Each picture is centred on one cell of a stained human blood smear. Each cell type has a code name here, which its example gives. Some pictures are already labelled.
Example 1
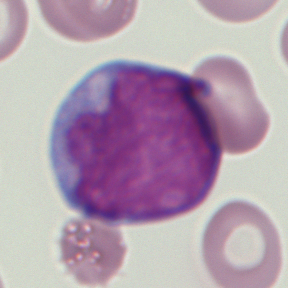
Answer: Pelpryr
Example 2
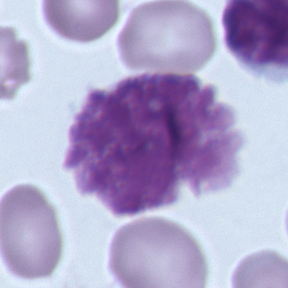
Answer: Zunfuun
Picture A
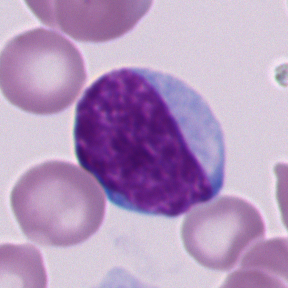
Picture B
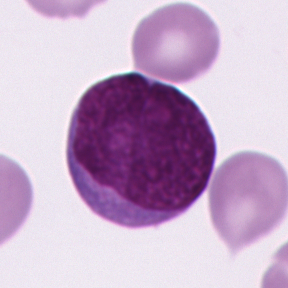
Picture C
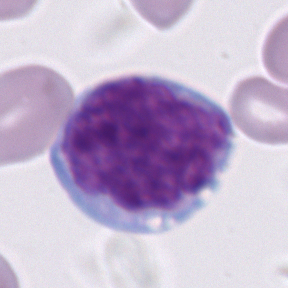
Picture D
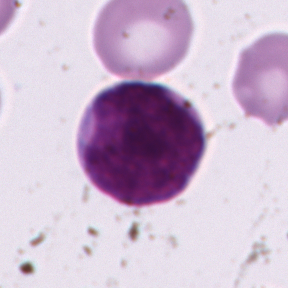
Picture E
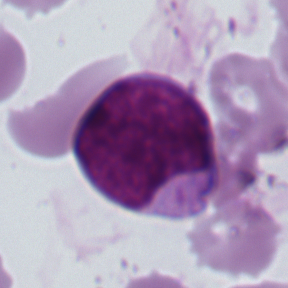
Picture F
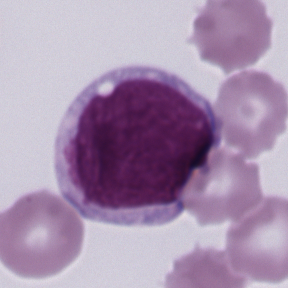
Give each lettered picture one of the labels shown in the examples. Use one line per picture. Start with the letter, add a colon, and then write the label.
A: Pelpryr
B: Pelpryr
C: Pelpryr
D: Pelpryr
E: Pelpryr
F: Pelpryr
